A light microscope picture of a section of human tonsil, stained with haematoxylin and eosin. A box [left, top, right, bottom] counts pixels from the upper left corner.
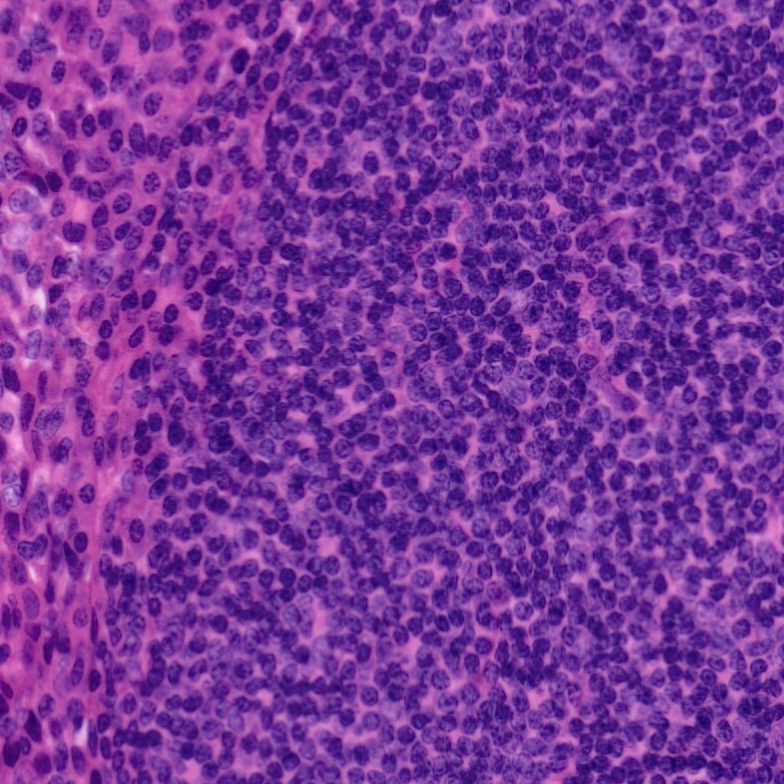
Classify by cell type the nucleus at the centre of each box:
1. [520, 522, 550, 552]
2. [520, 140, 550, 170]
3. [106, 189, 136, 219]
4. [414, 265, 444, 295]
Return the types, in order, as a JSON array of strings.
["small lymphocyte", "small lymphocyte", "plasma cell", "small lymphocyte"]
